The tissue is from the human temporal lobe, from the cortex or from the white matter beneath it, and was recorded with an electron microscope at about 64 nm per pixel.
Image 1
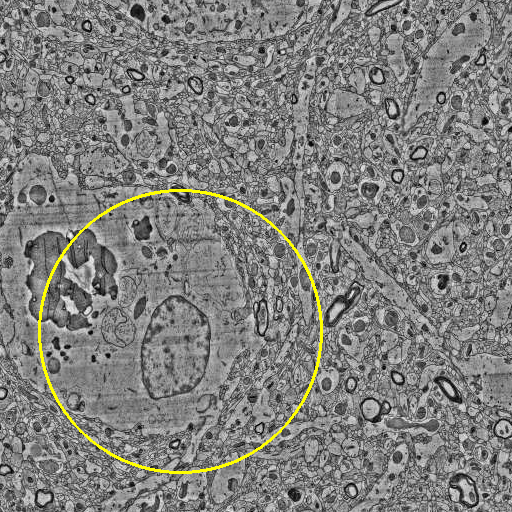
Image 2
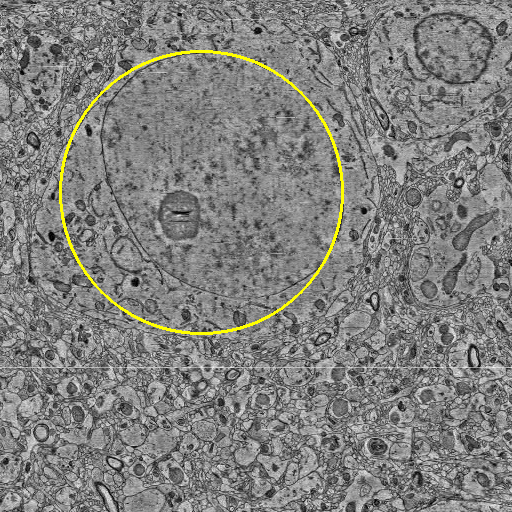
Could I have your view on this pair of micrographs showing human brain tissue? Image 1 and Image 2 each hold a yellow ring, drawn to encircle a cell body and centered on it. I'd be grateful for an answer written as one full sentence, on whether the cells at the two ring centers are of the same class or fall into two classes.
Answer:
The cells at the centers of the two rings fall into two classes.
